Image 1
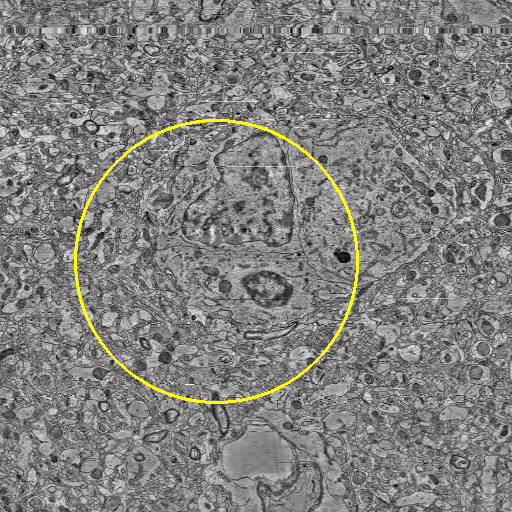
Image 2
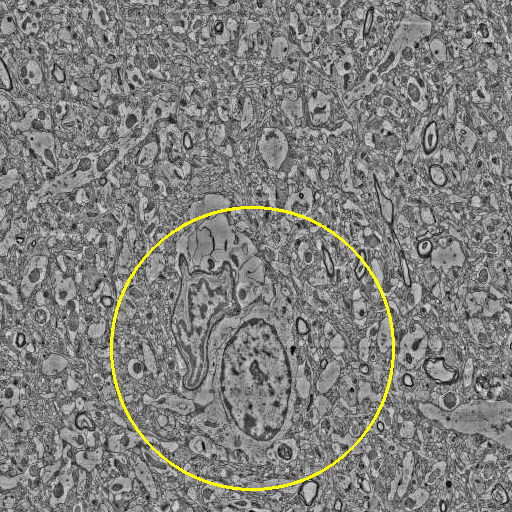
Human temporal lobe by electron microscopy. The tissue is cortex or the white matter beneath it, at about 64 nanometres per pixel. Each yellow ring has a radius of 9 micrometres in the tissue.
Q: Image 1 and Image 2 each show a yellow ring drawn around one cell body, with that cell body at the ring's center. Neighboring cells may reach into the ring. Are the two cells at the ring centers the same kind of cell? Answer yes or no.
yes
